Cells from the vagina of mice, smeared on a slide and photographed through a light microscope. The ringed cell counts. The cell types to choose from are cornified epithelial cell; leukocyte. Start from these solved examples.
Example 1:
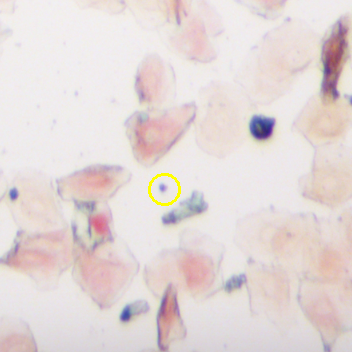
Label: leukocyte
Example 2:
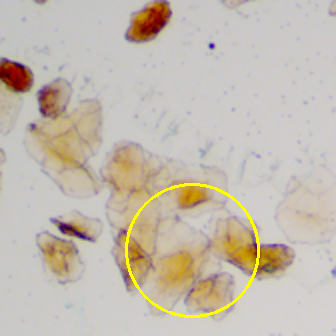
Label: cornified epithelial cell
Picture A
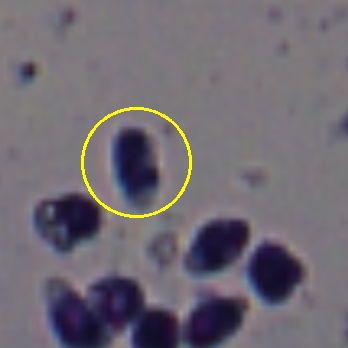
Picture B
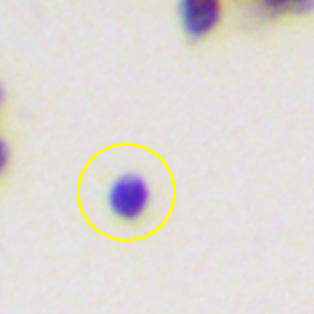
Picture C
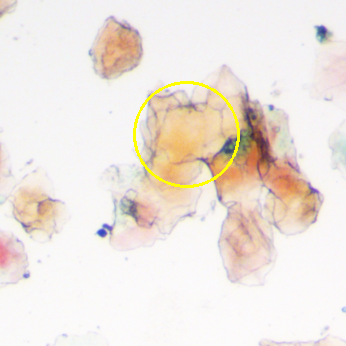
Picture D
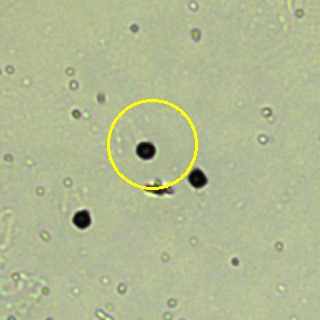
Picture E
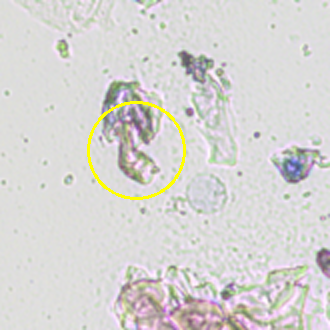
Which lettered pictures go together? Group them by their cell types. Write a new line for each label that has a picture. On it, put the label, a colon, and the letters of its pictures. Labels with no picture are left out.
cornified epithelial cell: C, E
leukocyte: A, B, D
